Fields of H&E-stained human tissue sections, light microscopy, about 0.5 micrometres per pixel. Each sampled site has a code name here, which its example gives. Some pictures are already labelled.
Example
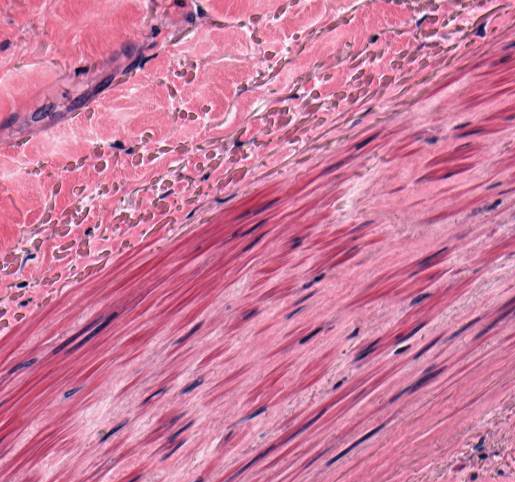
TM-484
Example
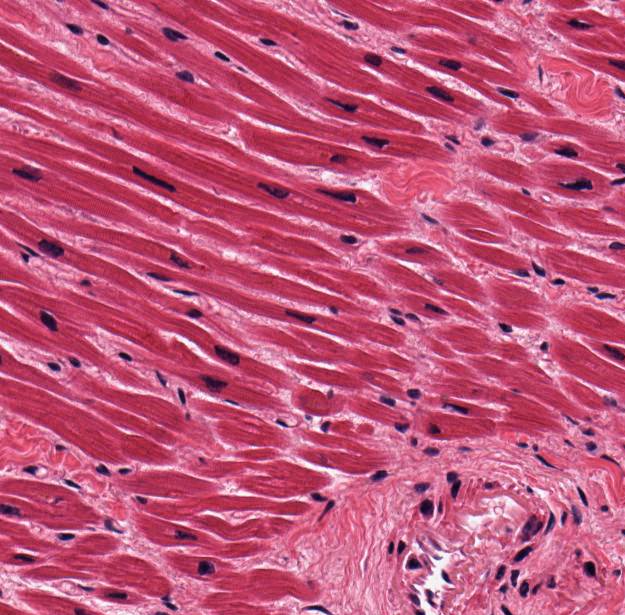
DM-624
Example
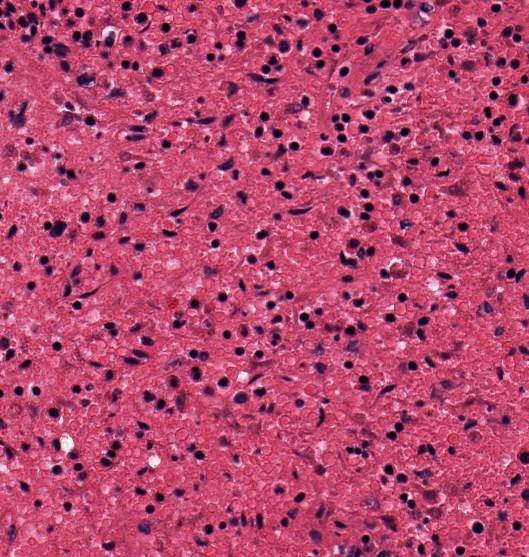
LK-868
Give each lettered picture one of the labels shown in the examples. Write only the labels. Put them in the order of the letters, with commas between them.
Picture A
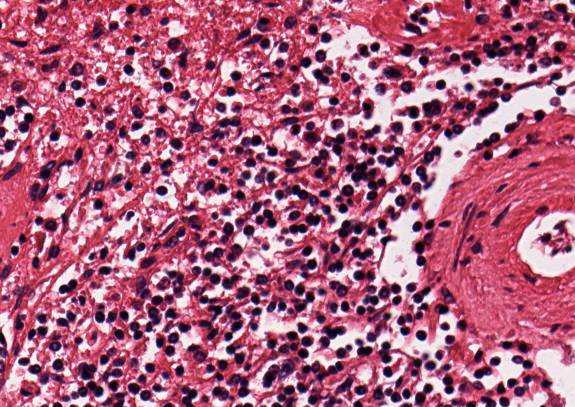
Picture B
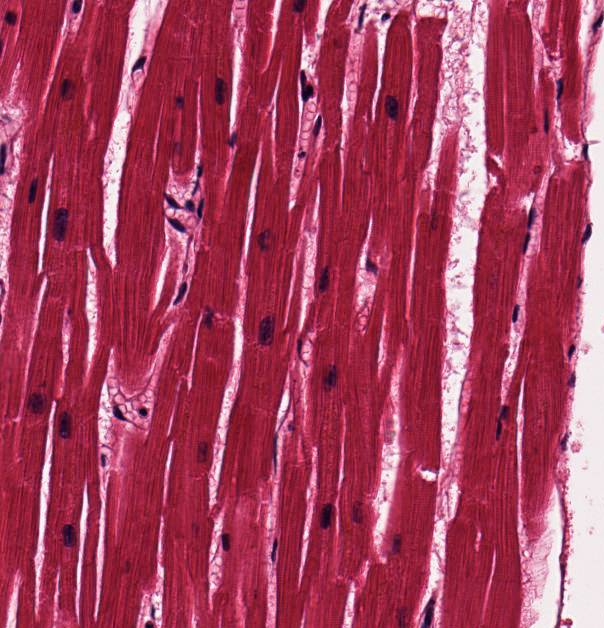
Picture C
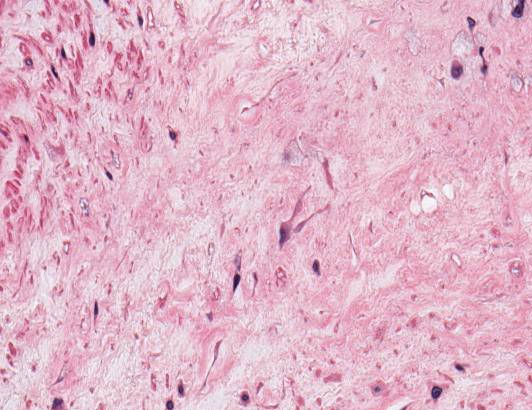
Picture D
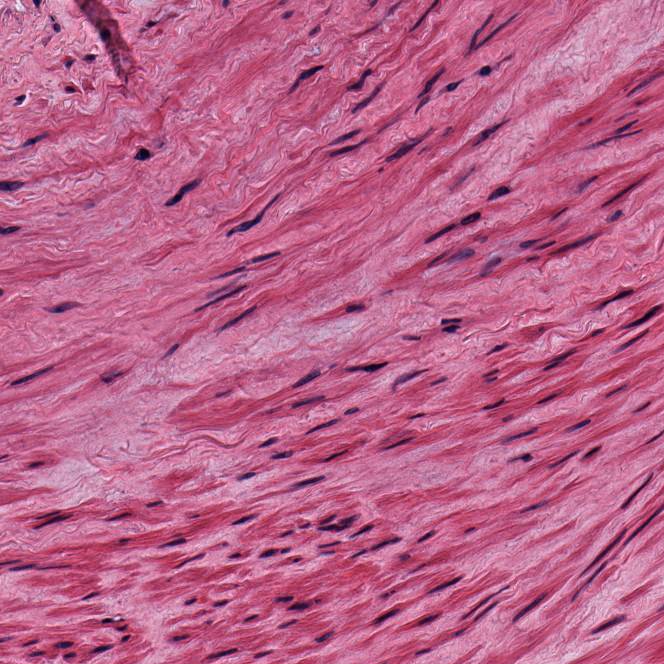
LK-868, DM-624, TM-484, TM-484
